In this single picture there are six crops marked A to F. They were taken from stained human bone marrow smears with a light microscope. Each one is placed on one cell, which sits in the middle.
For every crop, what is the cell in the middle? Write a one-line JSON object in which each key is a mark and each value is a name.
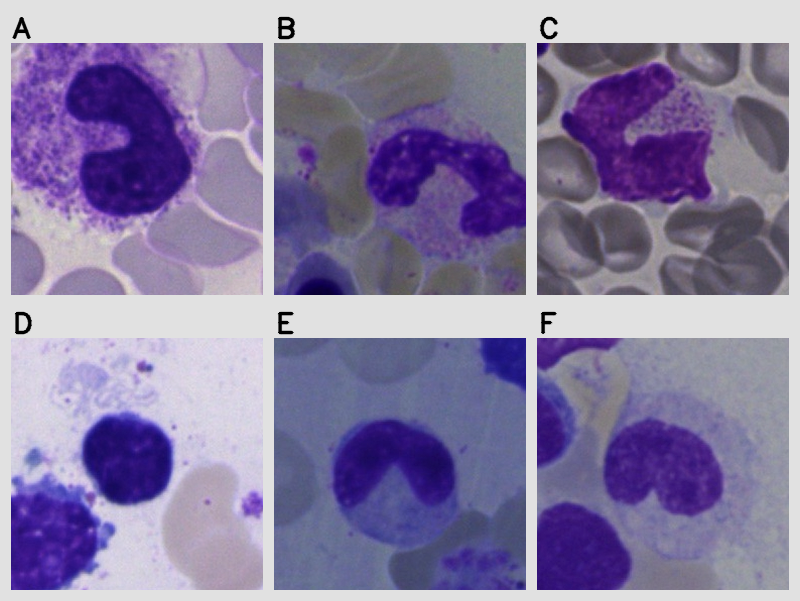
{"A": "band neutrophil", "B": "segmented neutrophil", "C": "band neutrophil", "D": "lymphocyte", "E": "band neutrophil", "F": "band neutrophil"}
